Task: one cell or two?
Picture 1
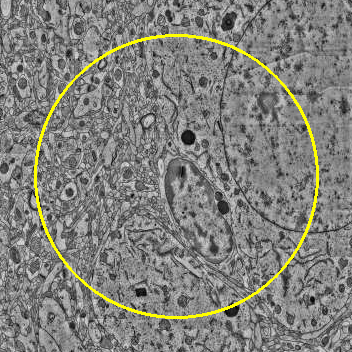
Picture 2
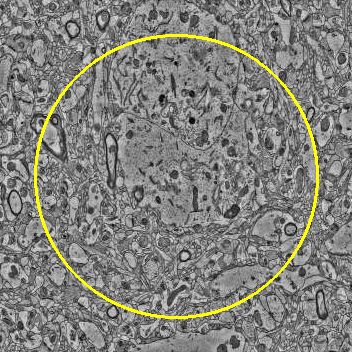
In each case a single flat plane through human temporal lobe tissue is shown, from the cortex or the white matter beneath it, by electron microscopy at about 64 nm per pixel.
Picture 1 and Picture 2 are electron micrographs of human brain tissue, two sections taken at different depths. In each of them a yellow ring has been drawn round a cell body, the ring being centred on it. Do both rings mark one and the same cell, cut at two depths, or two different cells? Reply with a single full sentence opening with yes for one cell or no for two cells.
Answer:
No, the two yellow rings surround two different cells.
